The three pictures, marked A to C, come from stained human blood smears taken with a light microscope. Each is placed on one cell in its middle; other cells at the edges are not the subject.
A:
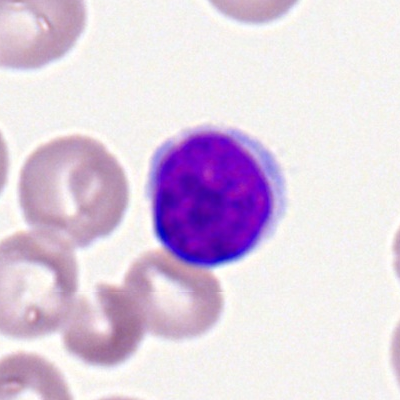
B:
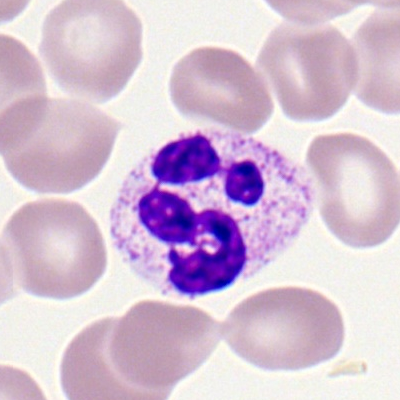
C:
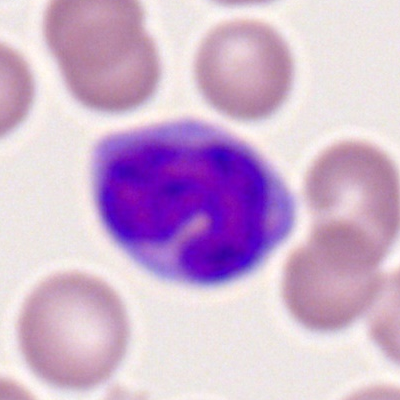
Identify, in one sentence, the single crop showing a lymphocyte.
The crop carrying a lymphocyte at the center is crop A.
